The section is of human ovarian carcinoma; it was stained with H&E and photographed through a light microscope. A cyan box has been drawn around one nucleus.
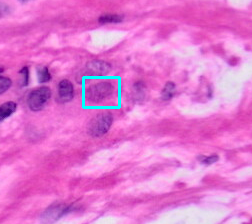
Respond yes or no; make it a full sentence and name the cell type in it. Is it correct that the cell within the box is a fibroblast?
No, as a cell type, the cell within the box is a carcinoma cell rather than a fibroblast.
